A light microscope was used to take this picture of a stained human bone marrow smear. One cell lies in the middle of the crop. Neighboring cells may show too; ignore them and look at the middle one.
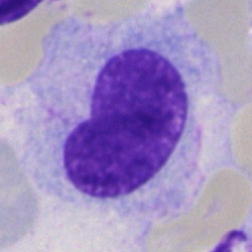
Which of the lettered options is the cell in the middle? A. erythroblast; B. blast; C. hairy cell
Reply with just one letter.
C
